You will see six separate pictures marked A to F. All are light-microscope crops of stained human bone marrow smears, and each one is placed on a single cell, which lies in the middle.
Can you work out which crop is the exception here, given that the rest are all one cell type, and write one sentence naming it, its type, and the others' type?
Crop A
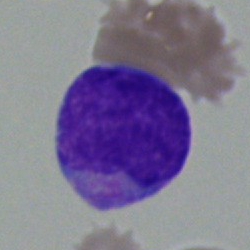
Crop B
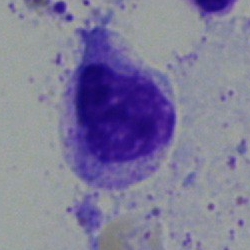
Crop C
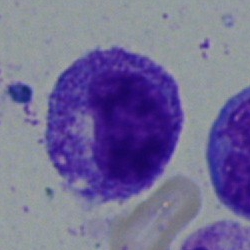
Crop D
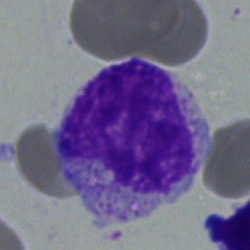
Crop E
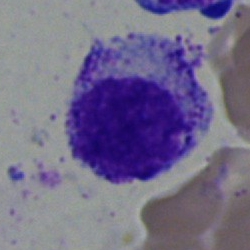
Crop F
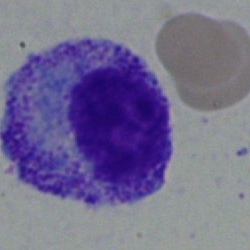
Crop A is not like the others: it is a blast, and they are myelocytes.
